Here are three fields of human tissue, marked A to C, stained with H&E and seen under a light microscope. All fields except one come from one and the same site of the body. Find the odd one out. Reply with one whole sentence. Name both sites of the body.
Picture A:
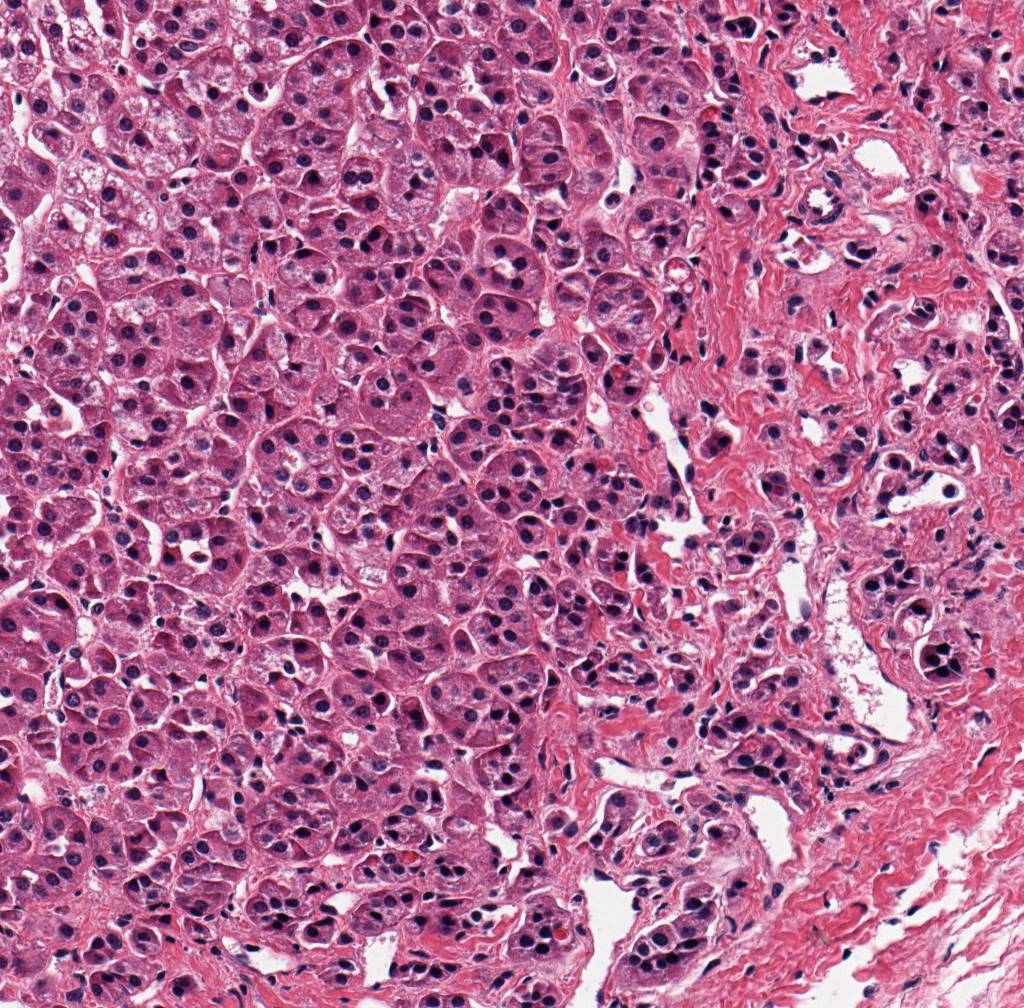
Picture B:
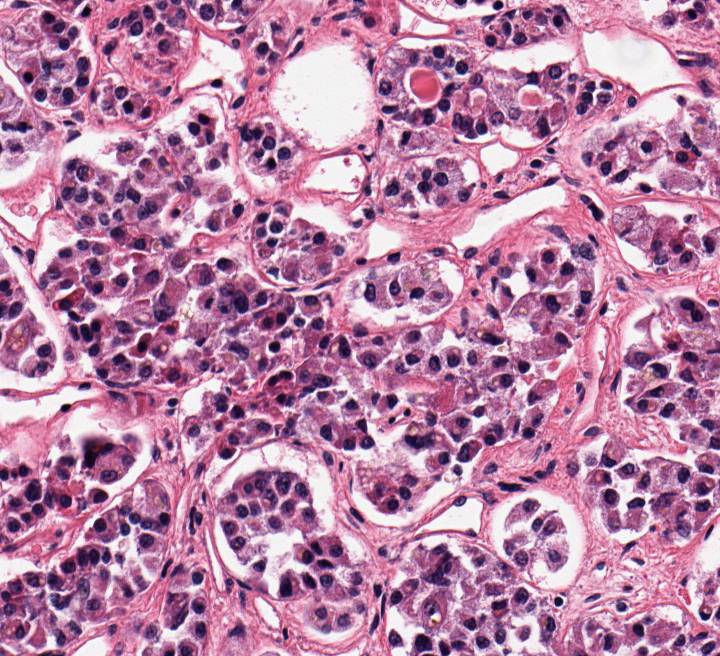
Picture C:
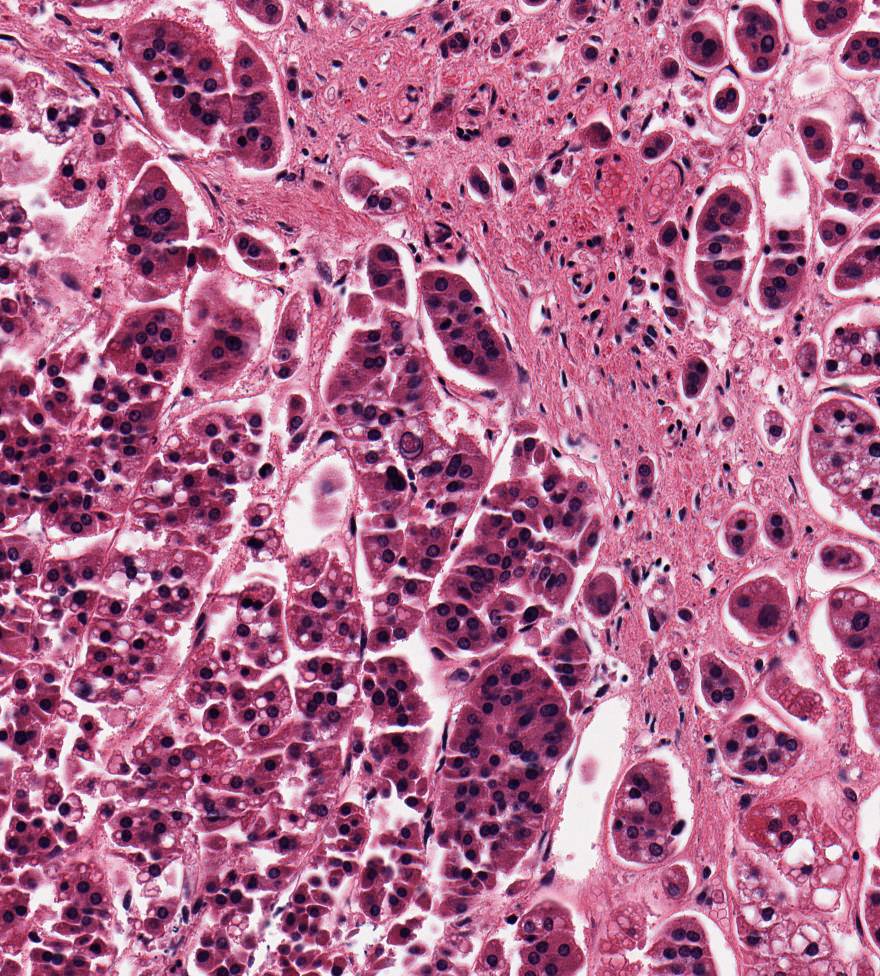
Picture B is the odd one out: it comes from the pituitary, while the others come from the adrenal gland.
